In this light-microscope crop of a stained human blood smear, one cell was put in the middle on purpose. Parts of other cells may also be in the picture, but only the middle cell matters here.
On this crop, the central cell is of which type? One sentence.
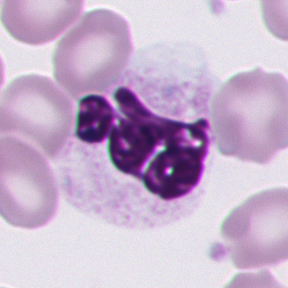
The cell at the heart of this crop is a segmented neutrophil.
